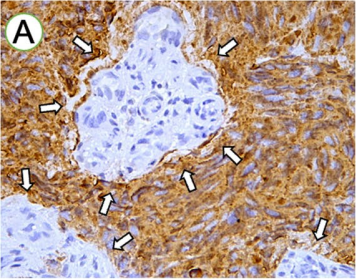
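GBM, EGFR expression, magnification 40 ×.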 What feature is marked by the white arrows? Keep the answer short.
Proliferative microvasculature.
